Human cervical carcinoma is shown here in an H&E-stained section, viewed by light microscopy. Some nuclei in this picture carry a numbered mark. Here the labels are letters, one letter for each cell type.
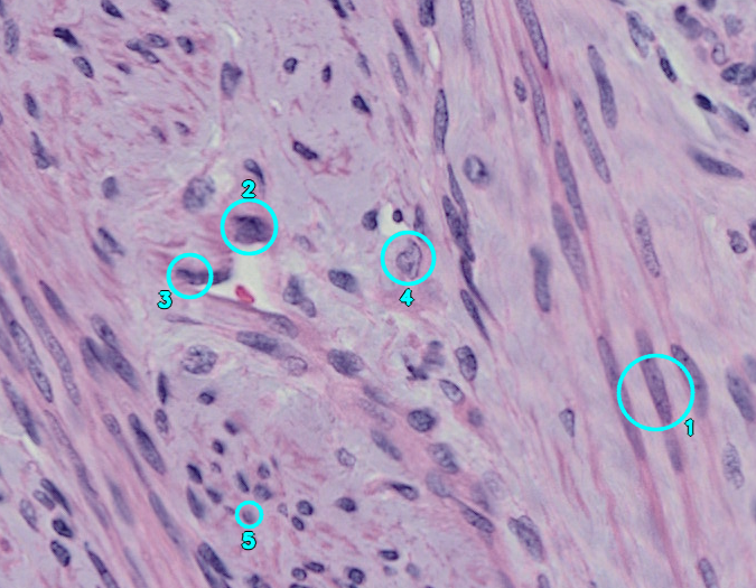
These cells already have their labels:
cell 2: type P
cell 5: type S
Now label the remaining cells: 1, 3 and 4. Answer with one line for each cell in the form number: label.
1: type S
3: type P
4: type P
